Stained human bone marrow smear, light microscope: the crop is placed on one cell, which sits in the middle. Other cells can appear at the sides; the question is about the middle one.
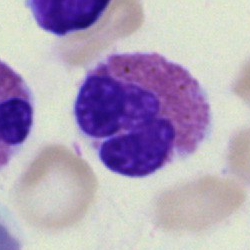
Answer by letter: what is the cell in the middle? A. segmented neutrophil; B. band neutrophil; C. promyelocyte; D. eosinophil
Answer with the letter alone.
D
